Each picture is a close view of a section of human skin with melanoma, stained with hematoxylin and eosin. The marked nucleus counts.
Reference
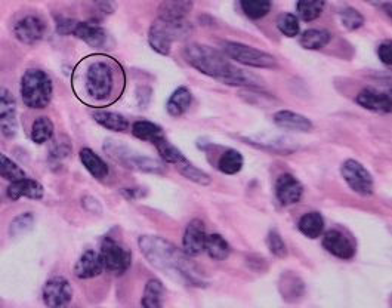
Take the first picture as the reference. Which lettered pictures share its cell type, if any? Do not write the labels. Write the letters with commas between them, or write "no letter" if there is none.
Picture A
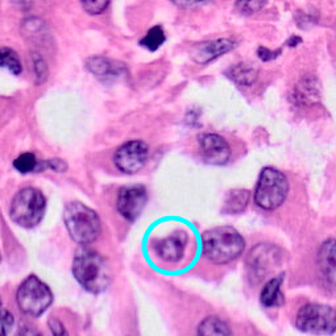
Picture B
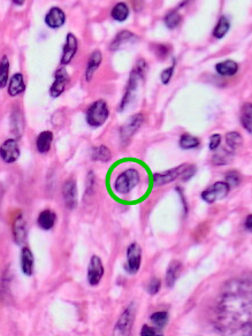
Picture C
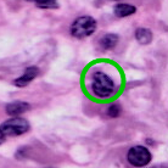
C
